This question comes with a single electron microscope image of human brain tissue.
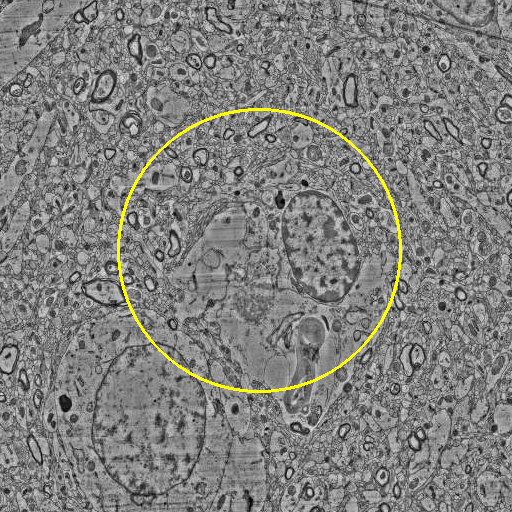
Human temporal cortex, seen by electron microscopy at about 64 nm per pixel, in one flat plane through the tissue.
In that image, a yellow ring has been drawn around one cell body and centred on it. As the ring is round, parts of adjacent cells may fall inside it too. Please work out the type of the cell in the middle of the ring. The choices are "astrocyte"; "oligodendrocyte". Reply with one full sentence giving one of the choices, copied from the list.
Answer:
Of the choices, an astrocyte is the cell sitting in the middle of the ring.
